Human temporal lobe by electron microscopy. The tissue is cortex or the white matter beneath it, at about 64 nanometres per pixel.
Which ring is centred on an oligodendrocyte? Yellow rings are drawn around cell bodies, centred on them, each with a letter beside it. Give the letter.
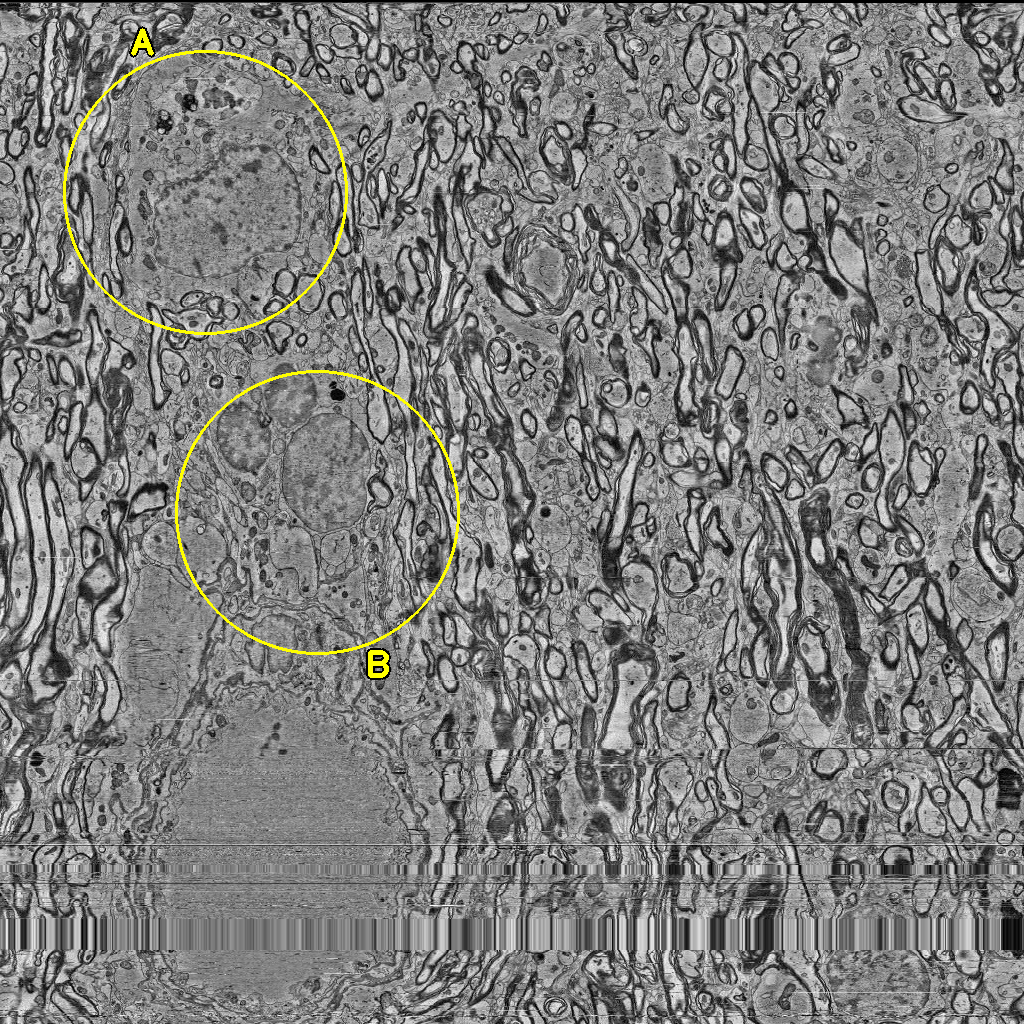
B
